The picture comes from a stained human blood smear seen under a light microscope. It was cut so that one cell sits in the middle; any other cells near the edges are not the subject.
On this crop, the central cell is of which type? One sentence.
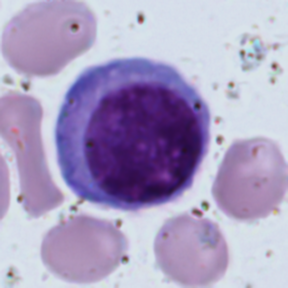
The central cell, amid any neighbouring cells, is a plasma cell.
